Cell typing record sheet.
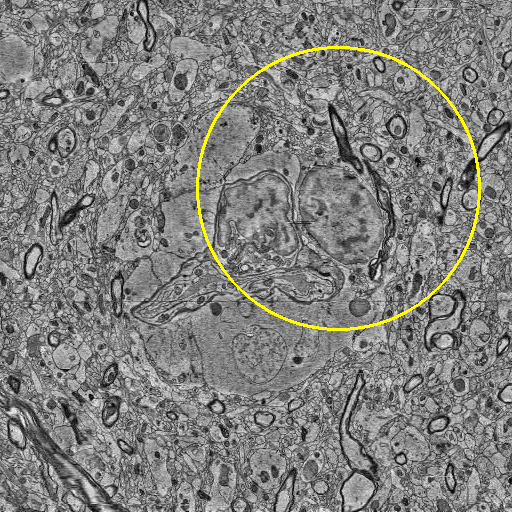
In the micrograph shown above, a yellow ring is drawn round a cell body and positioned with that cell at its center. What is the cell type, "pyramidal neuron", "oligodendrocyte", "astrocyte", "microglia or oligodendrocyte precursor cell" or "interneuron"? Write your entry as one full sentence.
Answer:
The cell body at the center of the ring belongs to an oligodendrocyte.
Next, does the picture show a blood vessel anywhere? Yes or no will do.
Yes, one is visible.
